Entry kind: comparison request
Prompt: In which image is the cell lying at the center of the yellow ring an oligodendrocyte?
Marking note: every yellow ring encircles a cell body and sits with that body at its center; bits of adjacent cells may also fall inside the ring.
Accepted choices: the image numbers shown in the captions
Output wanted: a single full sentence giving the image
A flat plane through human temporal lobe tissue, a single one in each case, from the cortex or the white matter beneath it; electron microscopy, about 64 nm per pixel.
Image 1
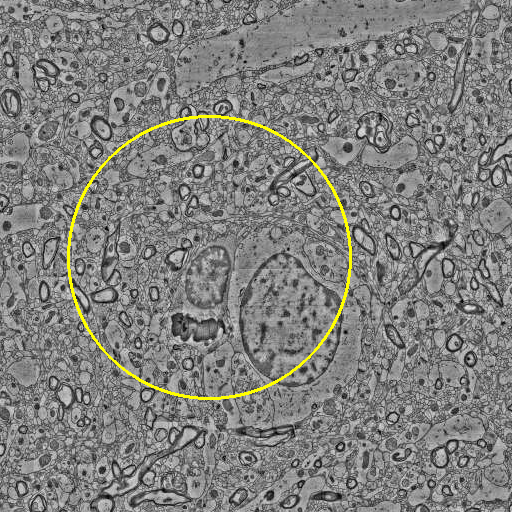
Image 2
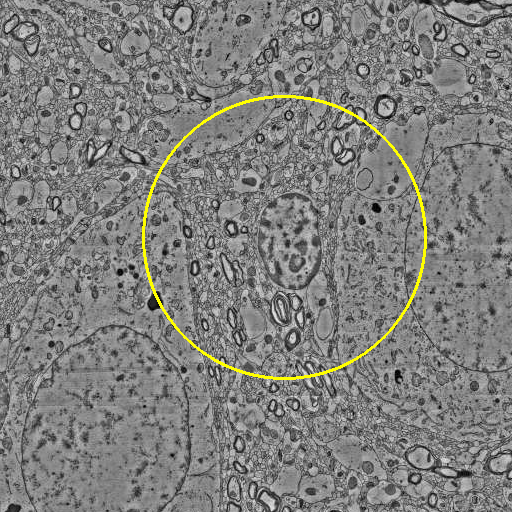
In image 1, the ringed cell at the center matches the prompt.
